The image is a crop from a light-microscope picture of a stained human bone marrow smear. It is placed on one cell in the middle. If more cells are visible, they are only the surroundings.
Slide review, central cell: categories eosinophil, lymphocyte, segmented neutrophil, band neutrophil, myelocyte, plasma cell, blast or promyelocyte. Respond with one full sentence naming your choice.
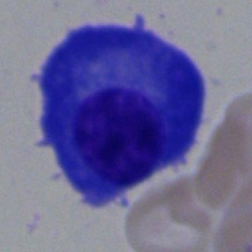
To answer, the cell in the center of the crop is a plasma cell.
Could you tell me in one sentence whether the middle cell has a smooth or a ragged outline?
The outer contour of the cell is irregular, with ragged portions or projections along it.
